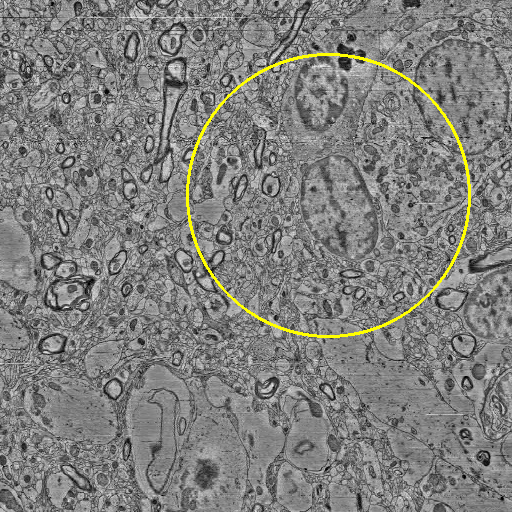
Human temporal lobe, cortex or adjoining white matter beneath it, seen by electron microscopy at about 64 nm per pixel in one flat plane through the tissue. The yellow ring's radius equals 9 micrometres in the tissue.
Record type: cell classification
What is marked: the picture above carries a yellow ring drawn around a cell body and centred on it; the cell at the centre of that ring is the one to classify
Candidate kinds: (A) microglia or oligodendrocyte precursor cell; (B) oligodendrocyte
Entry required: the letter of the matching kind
B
